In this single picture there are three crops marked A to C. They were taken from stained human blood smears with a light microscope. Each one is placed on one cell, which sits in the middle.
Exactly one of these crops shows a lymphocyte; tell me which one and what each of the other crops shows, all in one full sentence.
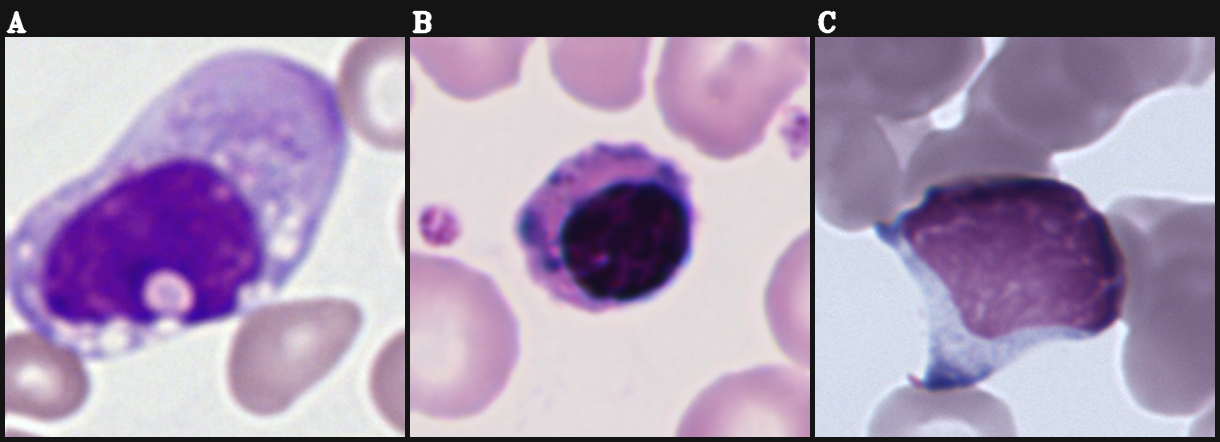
Crop C is a lymphocyte and, for the others, crop A is a monocyte and crop B is a normoblast.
